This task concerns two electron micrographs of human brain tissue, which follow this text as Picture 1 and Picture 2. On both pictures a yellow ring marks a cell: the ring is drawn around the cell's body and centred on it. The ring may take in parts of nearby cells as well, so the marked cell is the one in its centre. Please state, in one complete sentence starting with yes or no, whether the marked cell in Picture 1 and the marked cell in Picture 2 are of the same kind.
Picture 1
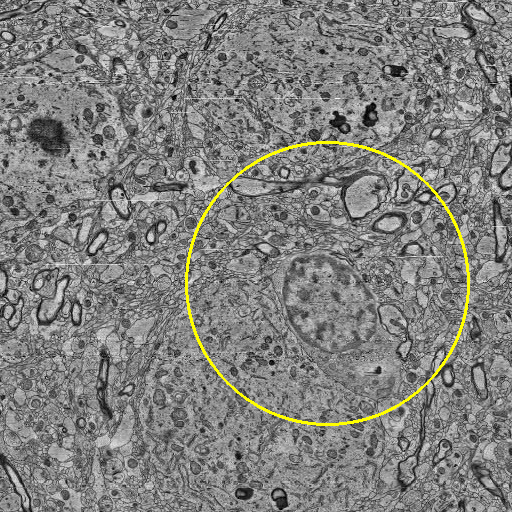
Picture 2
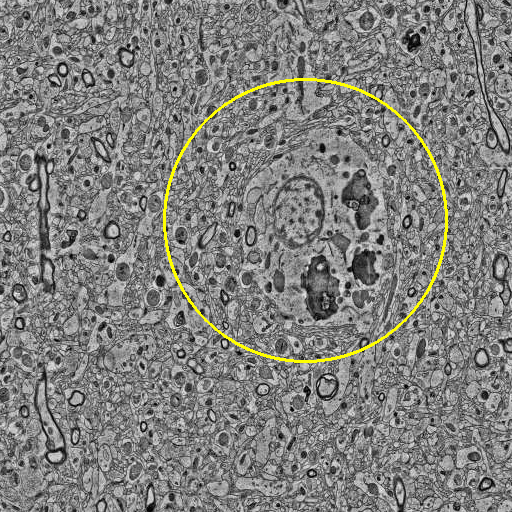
No, the marked cells in the two pictures are of two kinds.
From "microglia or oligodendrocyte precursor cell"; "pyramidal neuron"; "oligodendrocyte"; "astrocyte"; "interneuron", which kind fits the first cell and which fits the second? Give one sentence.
The cell marked in the first picture is an oligodendrocyte, and the one marked in the second is an astrocyte.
